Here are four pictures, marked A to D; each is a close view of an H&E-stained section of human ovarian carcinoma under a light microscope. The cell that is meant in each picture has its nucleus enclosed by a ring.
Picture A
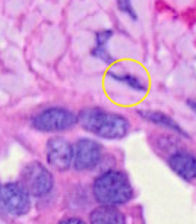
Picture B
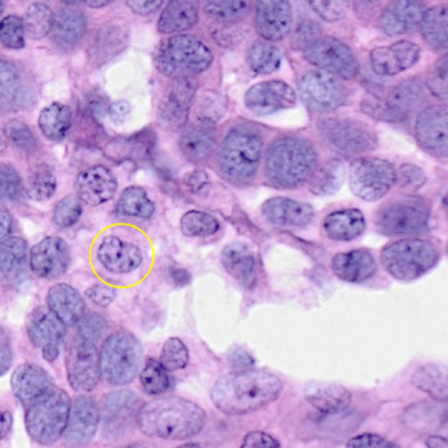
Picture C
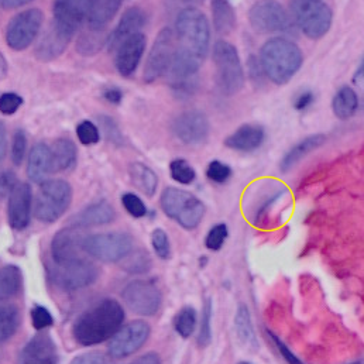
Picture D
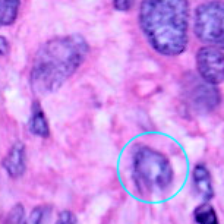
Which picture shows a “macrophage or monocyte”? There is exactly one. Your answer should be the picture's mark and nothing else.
B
